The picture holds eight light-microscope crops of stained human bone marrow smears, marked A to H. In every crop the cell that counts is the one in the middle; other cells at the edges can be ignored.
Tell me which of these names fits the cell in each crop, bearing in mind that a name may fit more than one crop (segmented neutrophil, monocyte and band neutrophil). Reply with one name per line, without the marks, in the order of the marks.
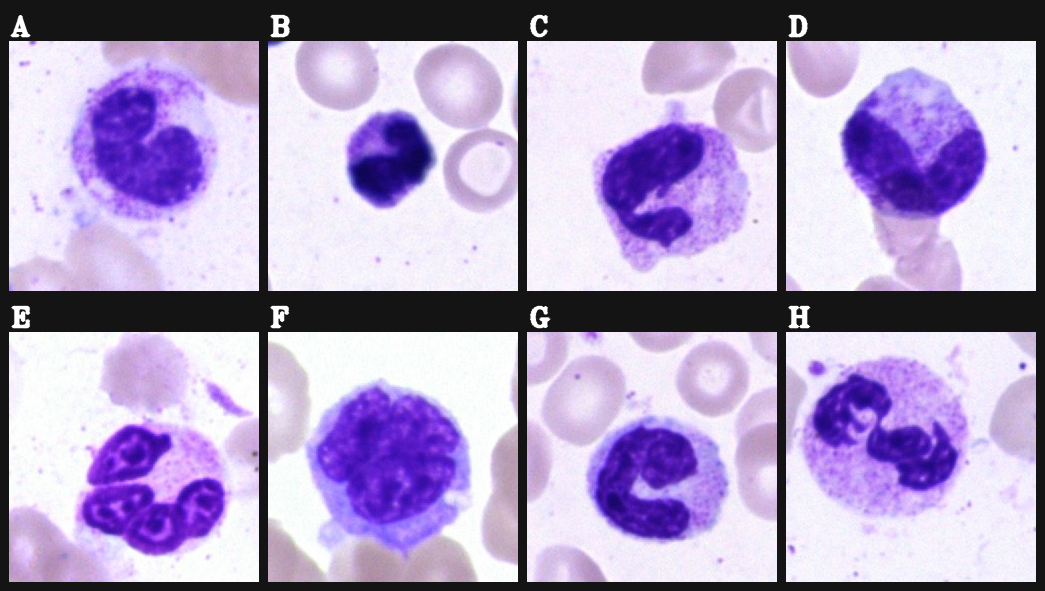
band neutrophil
segmented neutrophil
segmented neutrophil
band neutrophil
segmented neutrophil
monocyte
band neutrophil
segmented neutrophil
